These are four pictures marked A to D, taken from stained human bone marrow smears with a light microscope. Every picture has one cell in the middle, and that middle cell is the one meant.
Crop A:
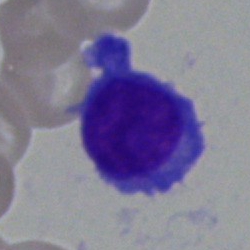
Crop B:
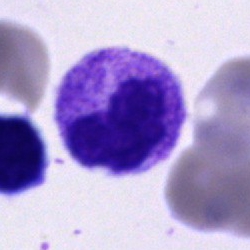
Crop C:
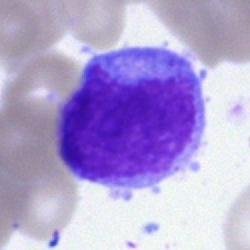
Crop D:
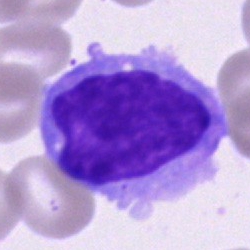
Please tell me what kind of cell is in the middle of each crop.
A: plasma cell
B: metamyelocyte
C: blast
D: monocyte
